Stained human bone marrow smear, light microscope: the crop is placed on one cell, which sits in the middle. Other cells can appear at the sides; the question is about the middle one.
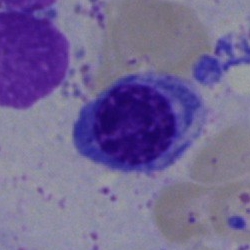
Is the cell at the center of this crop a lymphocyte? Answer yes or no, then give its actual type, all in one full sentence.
No, the cell in the middle is correctly named an erythroblast, not a lymphocyte.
